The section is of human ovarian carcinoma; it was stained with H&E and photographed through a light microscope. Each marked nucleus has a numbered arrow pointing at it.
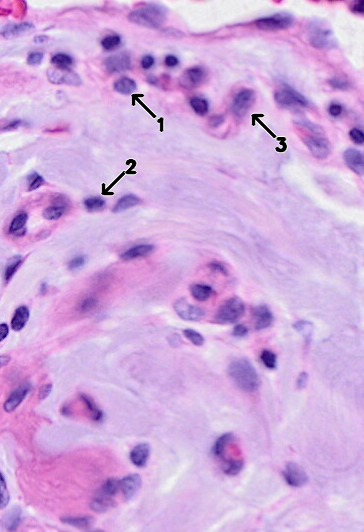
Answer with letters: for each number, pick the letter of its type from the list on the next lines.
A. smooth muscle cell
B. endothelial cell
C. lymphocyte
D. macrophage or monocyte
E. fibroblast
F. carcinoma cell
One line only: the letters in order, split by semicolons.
C; C; B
